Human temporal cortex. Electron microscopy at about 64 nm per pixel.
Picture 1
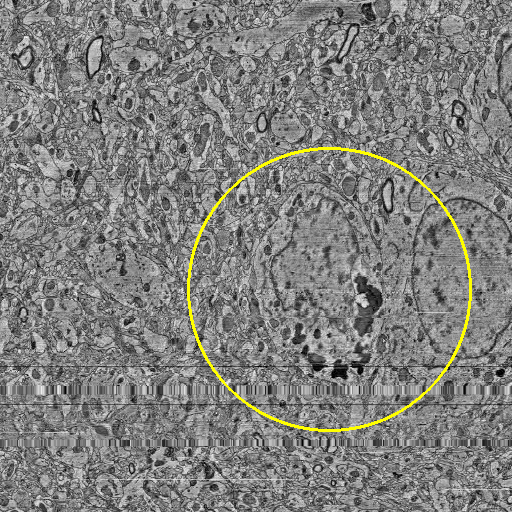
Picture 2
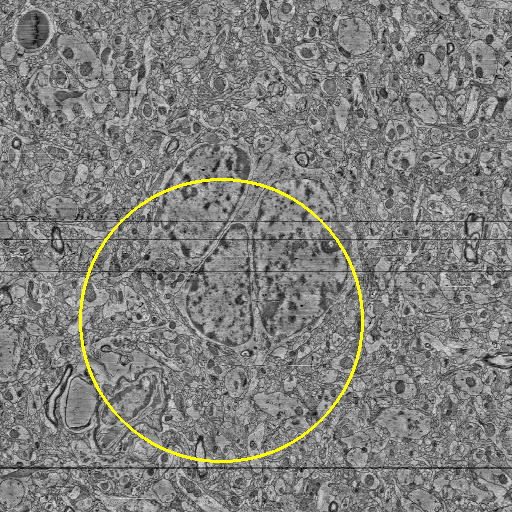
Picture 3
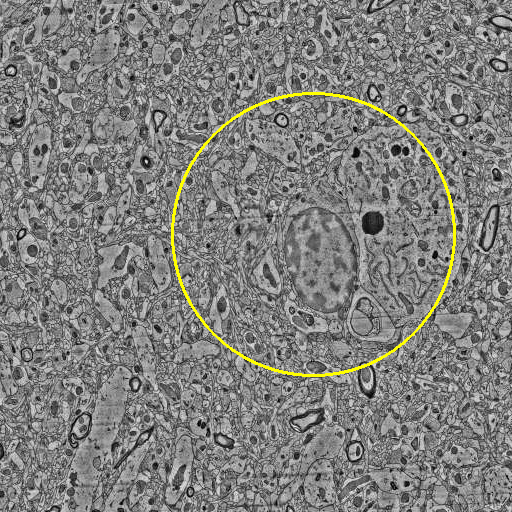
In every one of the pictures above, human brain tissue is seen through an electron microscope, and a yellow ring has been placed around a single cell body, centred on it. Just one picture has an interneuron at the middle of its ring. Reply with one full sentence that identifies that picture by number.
It is picture 1 that shows the wanted cell at its ring's centre.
